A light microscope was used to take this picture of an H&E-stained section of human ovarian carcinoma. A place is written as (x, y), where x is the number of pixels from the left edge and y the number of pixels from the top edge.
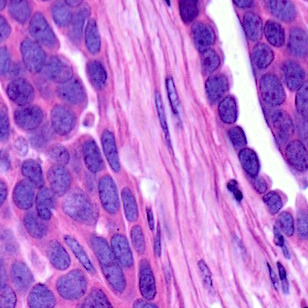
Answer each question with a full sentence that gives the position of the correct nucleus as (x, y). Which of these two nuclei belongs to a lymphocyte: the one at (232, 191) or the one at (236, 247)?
Of the two options, the nucleus at (232, 191) is the one that belongs to a lymphocyte.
